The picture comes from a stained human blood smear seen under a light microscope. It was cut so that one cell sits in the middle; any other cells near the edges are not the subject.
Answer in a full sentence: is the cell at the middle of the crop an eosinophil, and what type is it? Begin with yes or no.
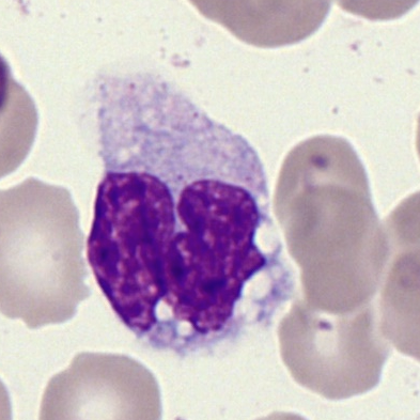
No, the centered cell is a monocyte and not an eosinophil at all.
